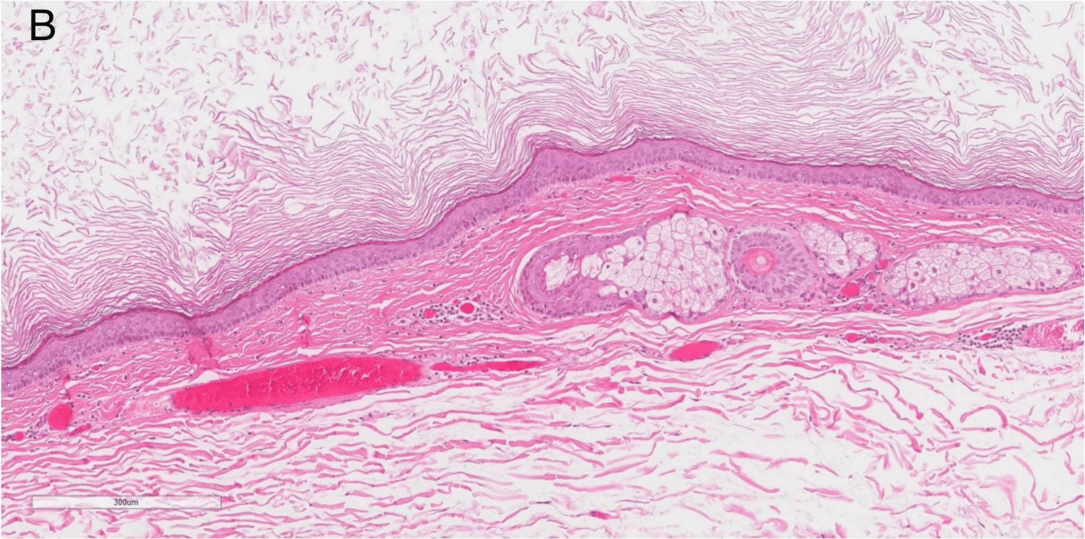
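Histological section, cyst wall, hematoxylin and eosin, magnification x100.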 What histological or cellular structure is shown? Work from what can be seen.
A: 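Sebaceous glands. Lobules of large cells with pale, foamy, vacuolated cytoplasm lie beneath the lining.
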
